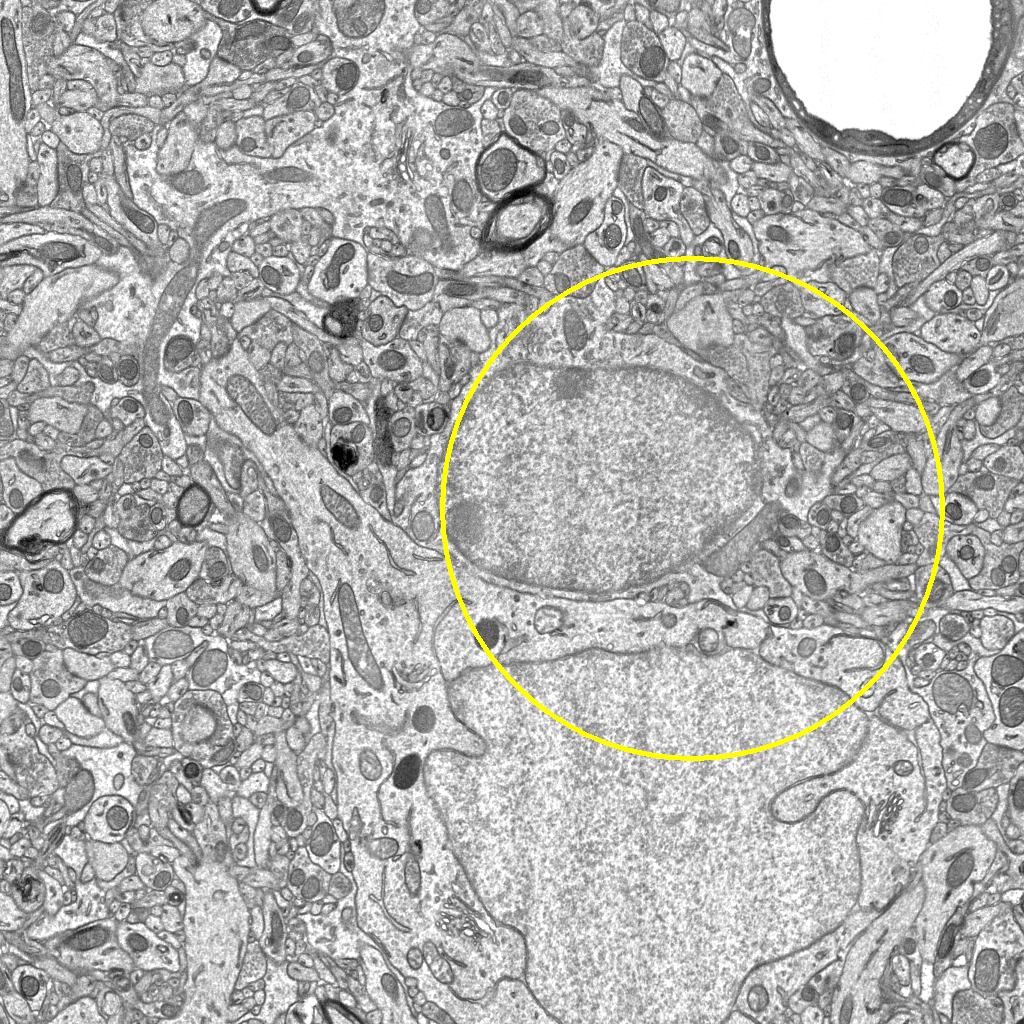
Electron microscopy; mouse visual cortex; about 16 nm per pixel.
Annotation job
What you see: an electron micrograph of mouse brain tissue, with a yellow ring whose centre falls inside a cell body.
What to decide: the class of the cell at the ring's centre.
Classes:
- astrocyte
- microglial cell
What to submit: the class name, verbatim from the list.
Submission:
astrocyte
